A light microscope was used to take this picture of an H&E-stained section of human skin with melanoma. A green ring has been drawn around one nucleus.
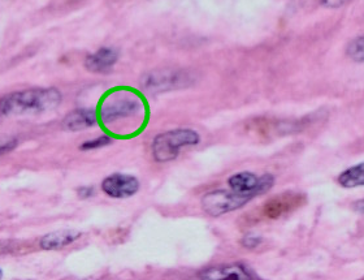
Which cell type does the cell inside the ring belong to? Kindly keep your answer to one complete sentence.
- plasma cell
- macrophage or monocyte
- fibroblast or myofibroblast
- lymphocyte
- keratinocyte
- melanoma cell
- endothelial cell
For the purposes of cell typing, the cell inside the ring is categorized as an endothelial cell.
